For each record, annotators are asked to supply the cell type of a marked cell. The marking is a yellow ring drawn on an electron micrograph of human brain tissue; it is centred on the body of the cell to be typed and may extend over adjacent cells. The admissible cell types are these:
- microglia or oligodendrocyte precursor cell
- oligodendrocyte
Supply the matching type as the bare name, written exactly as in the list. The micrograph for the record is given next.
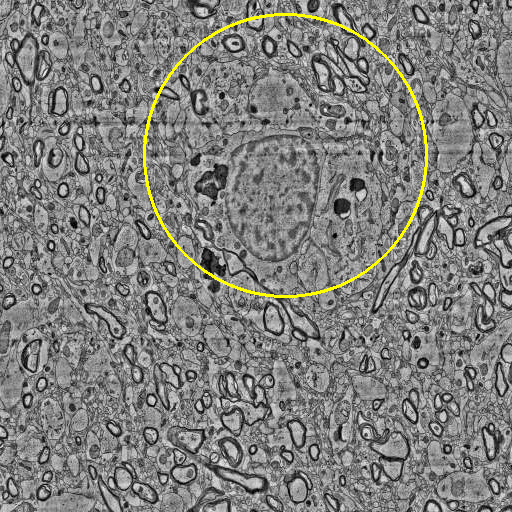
oligodendrocyte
